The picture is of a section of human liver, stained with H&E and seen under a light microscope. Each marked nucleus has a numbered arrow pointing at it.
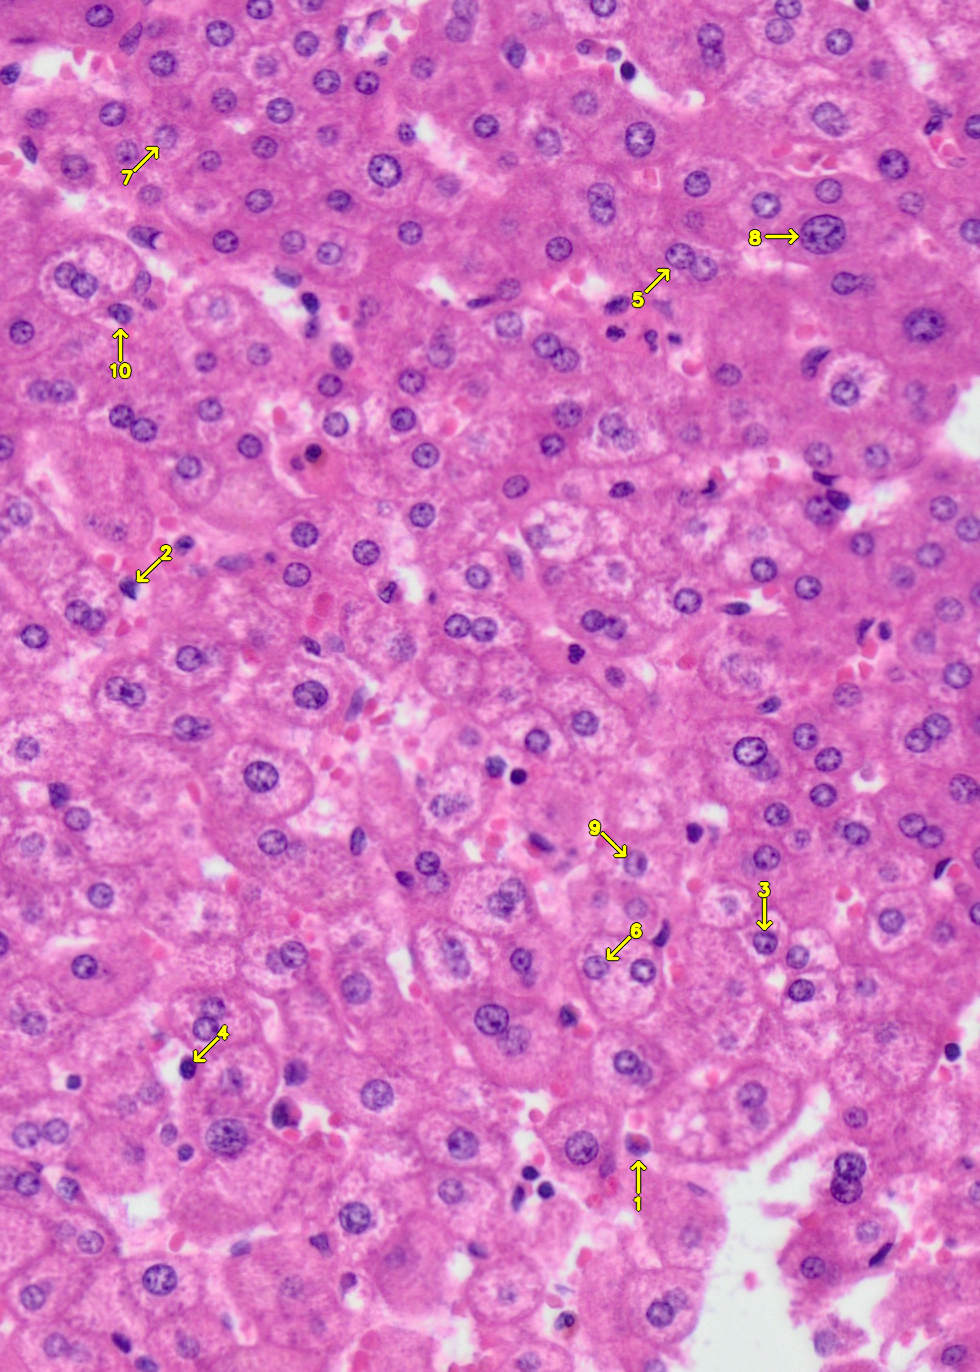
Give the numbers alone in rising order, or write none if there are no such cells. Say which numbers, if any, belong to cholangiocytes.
none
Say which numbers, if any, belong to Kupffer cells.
10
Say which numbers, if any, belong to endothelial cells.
1, 2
